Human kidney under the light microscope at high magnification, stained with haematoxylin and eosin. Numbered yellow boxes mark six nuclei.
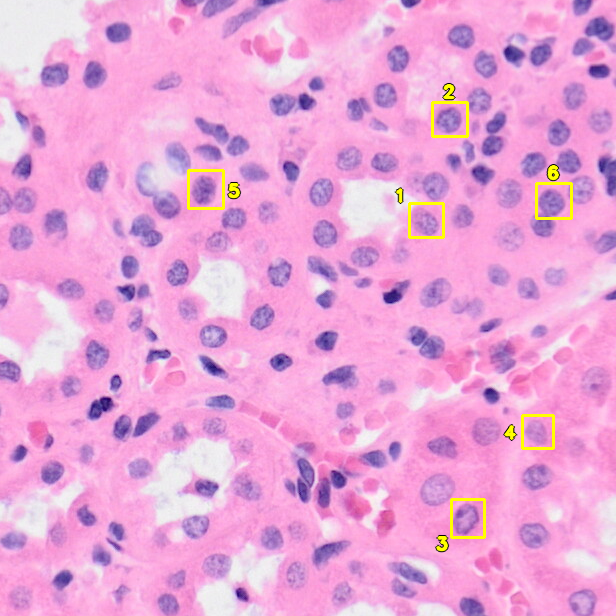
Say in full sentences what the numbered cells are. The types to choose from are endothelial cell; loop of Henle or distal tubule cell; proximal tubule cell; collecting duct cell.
Cell 1 is a loop of Henle or distal tubule cell, cell 2 is a loop of Henle or distal tubule cell, cell 3 is a proximal tubule cell, cell 4 is a proximal tubule cell, cell 5 is a loop of Henle or distal tubule cell and cell 6 is a loop of Henle or distal tubule cell.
